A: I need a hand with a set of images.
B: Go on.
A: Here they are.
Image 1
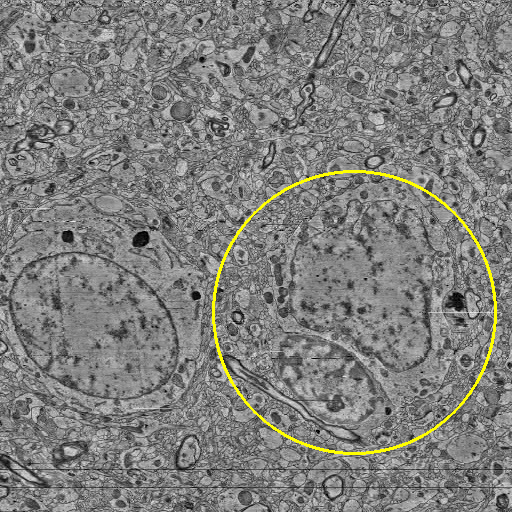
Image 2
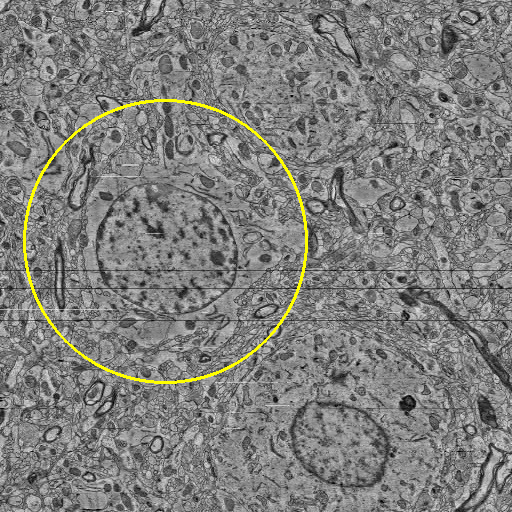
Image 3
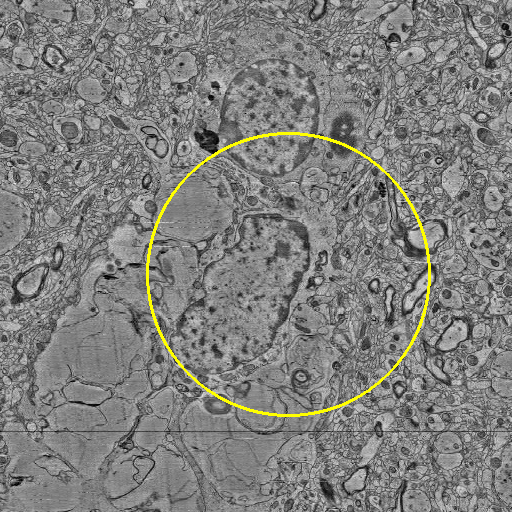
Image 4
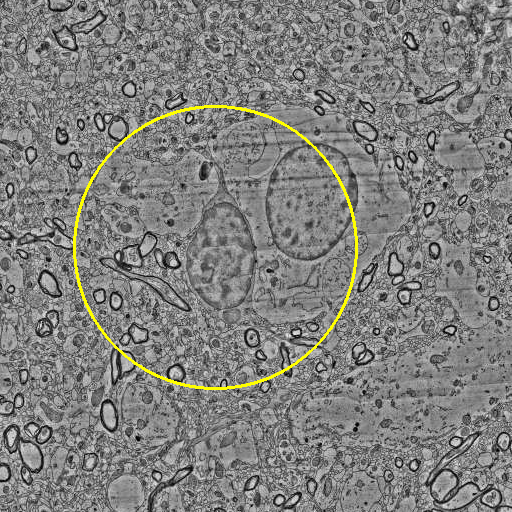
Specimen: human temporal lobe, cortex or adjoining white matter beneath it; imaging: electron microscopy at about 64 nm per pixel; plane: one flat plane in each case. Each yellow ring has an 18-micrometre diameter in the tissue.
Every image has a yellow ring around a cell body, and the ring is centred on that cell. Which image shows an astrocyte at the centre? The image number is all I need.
2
